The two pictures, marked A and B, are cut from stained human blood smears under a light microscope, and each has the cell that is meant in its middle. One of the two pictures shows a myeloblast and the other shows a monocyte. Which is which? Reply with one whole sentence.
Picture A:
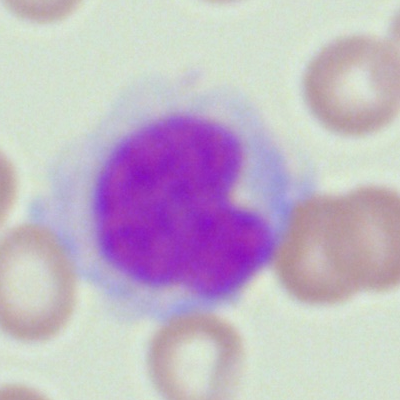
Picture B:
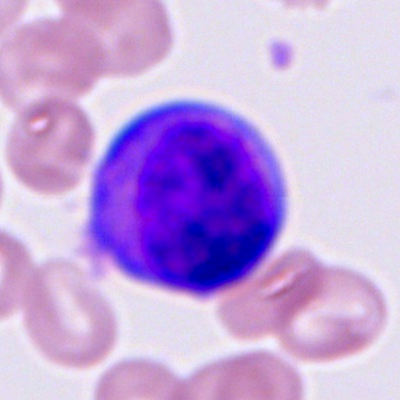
It is picture A that shows a monocyte, and picture B that shows a myeloblast.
